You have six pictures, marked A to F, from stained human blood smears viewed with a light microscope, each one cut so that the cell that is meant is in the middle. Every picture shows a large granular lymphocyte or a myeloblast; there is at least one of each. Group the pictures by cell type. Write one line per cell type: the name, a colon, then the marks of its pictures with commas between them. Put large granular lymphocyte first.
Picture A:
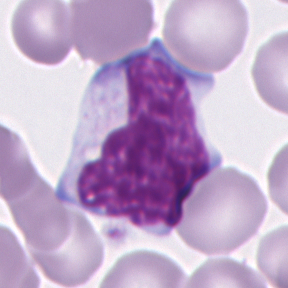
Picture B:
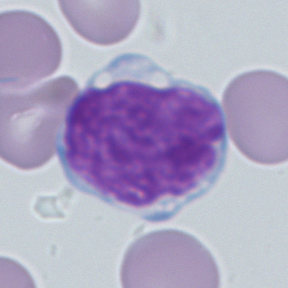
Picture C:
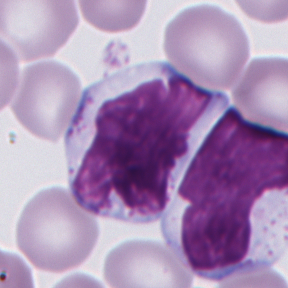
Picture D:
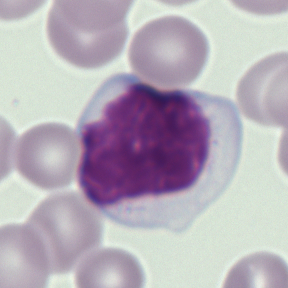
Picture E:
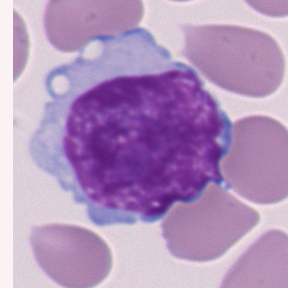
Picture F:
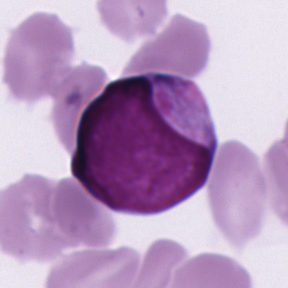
large granular lymphocyte: A, C, D
myeloblast: B, E, F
